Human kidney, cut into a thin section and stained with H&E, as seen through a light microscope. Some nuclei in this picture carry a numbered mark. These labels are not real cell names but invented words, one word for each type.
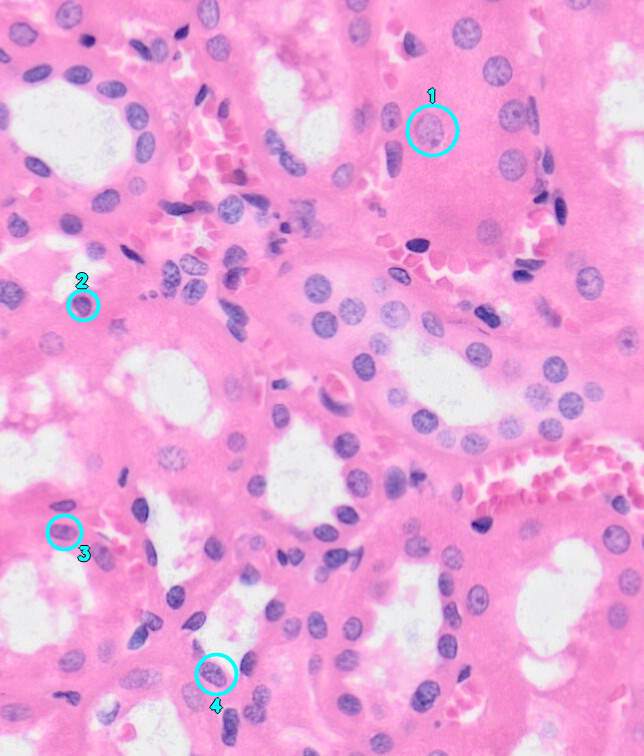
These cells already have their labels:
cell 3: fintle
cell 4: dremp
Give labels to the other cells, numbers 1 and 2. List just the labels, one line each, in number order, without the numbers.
fintle
dremp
